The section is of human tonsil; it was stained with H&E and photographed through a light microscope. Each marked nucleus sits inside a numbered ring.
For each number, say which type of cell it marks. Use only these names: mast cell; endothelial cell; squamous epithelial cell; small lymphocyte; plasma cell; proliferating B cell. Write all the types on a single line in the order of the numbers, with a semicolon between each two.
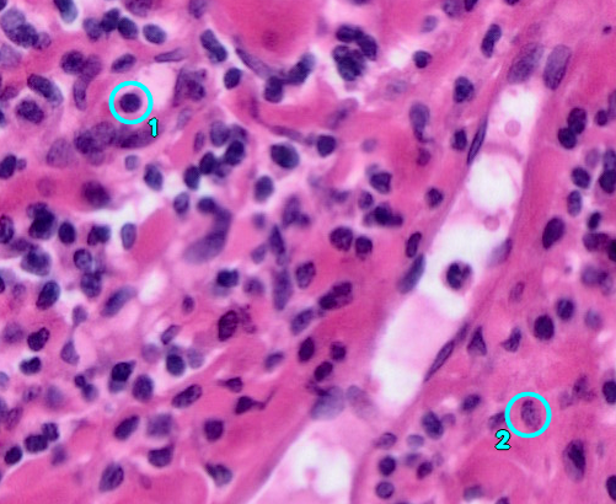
endothelial cell; mast cell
